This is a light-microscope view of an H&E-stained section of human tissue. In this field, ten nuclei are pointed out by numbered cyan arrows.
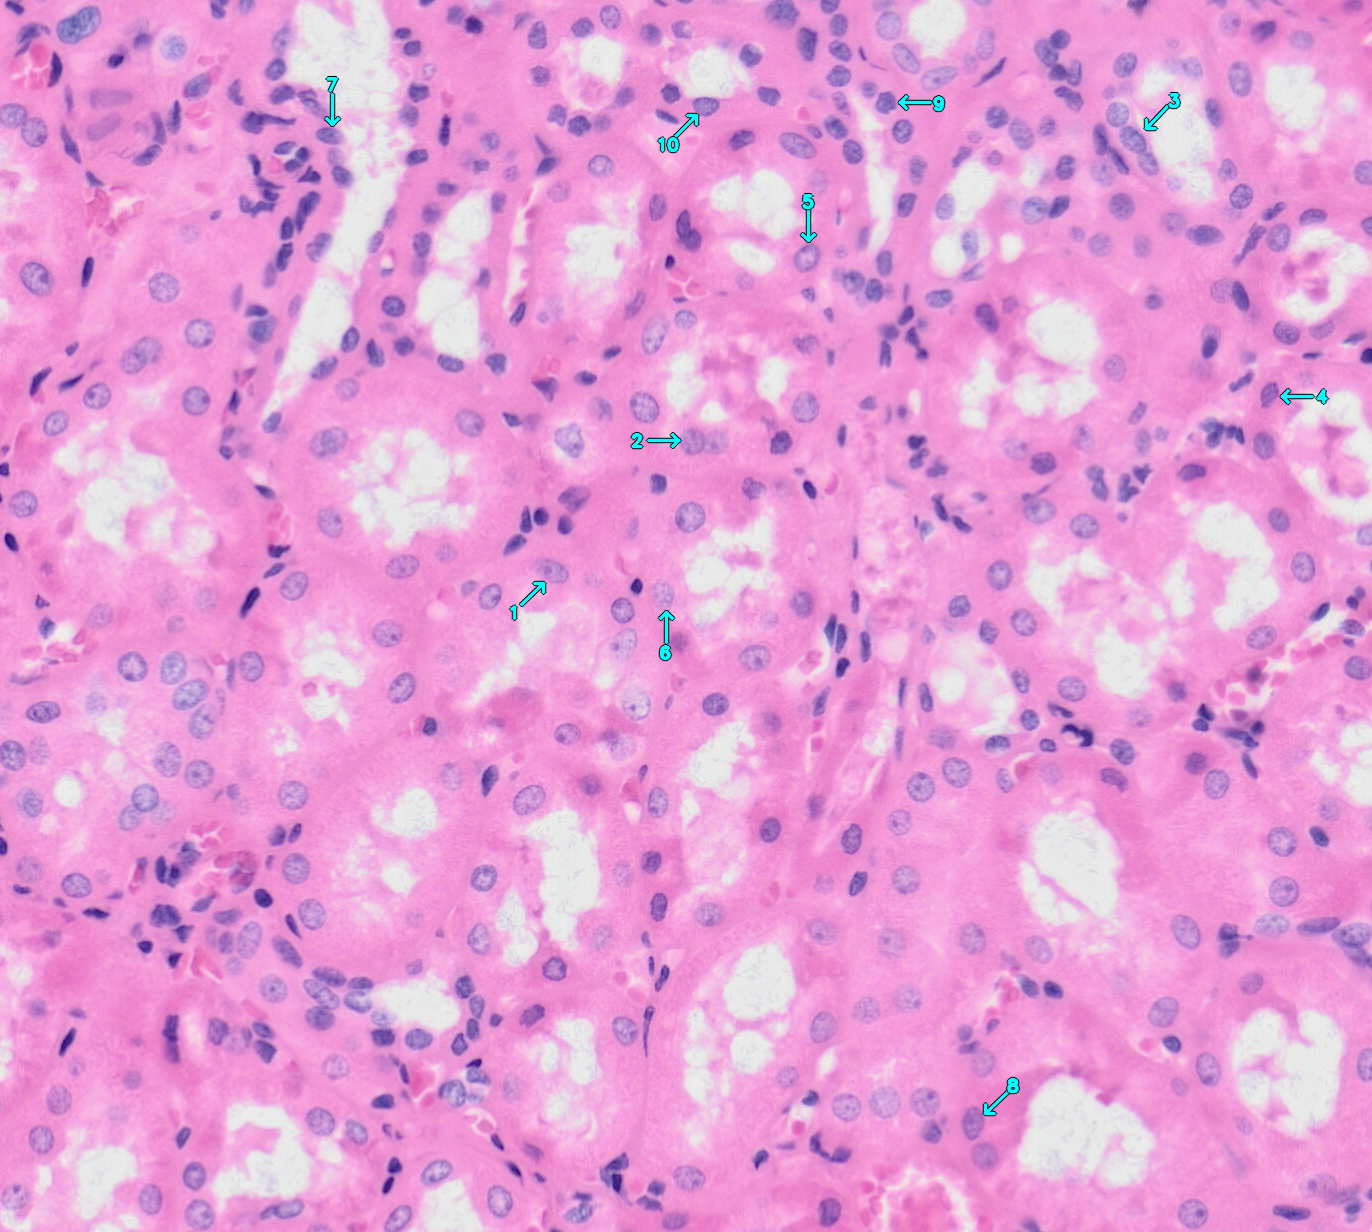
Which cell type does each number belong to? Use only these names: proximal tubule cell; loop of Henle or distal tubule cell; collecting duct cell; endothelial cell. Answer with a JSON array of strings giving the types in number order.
["proximal tubule cell", "proximal tubule cell", "collecting duct cell", "proximal tubule cell", "proximal tubule cell", "proximal tubule cell", "loop of Henle or distal tubule cell", "proximal tubule cell", "collecting duct cell", "loop of Henle or distal tubule cell"]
